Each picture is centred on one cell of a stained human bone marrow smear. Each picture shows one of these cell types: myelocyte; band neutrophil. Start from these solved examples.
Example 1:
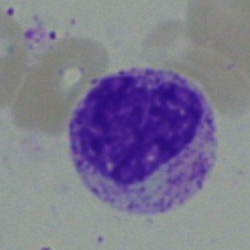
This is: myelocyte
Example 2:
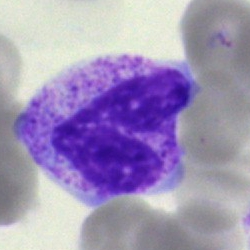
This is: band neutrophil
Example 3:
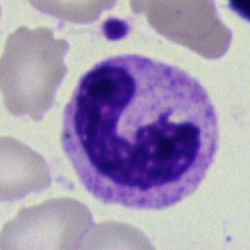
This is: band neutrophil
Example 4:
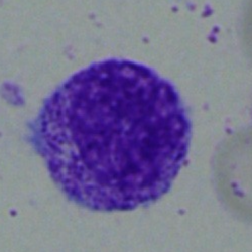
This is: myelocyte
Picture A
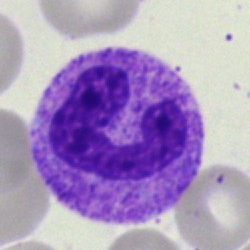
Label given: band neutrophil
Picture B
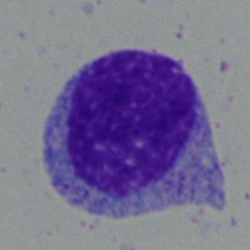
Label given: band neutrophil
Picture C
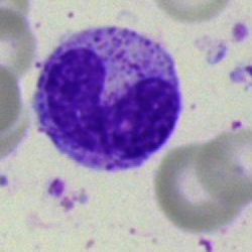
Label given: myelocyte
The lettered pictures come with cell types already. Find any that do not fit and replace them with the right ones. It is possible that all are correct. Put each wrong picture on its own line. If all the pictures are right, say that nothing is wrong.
Wrong: B (band neutrophil); correct: myelocyte
Wrong: C (myelocyte); correct: band neutrophil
